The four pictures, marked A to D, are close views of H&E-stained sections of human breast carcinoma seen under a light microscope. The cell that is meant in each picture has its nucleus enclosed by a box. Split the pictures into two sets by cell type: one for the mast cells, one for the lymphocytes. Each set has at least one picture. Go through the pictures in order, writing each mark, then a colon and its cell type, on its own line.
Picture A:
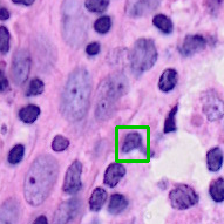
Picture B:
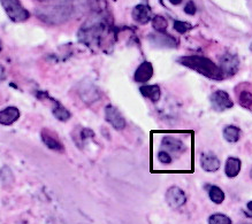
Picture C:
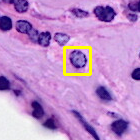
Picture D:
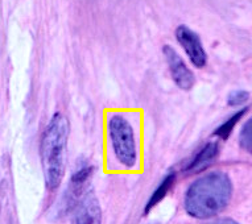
A: lymphocyte
B: lymphocyte
C: mast cell
D: mast cell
